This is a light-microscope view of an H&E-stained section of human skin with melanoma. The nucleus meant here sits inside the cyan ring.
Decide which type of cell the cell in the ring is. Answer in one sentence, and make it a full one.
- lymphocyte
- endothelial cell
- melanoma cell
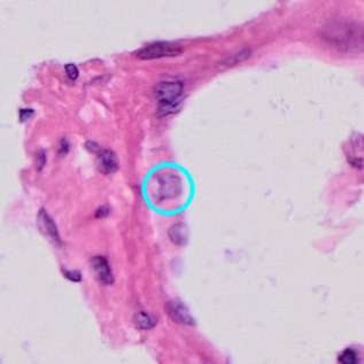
As a matter of cell type, the cell in the ring is an endothelial cell.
